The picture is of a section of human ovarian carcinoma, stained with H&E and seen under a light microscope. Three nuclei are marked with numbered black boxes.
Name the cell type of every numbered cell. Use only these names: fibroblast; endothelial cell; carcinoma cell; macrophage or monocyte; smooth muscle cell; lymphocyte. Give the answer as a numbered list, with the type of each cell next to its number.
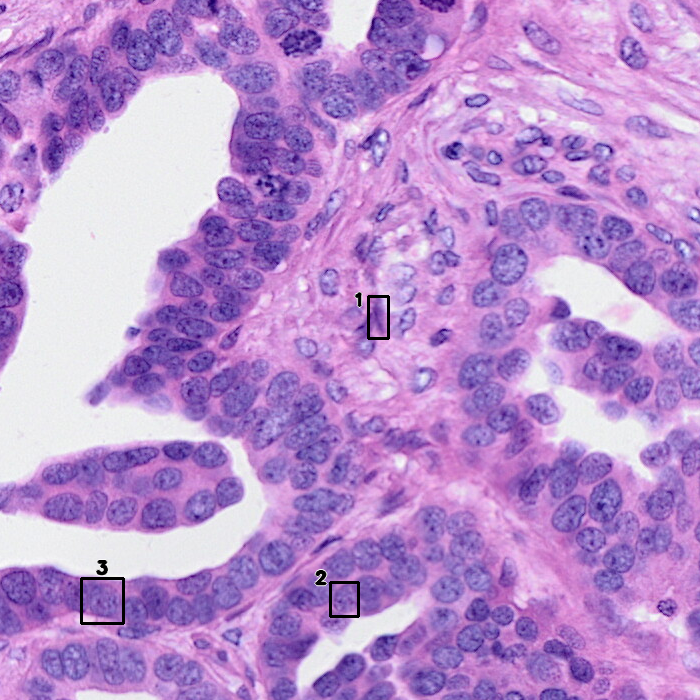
1. fibroblast
2. carcinoma cell
3. carcinoma cell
